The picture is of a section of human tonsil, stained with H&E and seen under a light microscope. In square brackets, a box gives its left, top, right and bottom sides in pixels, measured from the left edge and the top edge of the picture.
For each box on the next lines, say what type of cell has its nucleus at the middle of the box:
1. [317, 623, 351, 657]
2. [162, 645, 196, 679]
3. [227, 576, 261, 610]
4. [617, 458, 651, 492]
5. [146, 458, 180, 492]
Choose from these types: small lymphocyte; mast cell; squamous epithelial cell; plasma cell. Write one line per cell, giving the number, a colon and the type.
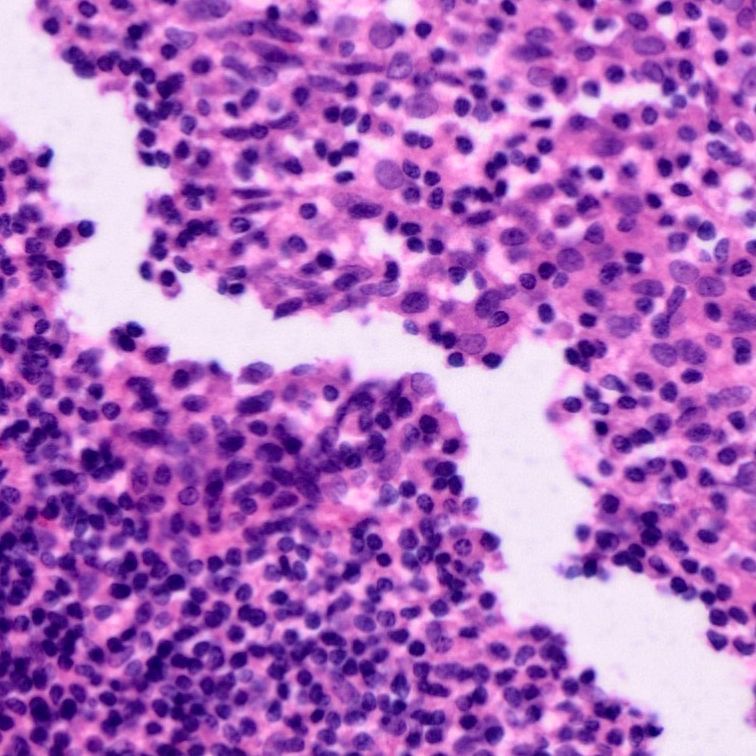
1: small lymphocyte
2: small lymphocyte
3: small lymphocyte
4: plasma cell
5: plasma cell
